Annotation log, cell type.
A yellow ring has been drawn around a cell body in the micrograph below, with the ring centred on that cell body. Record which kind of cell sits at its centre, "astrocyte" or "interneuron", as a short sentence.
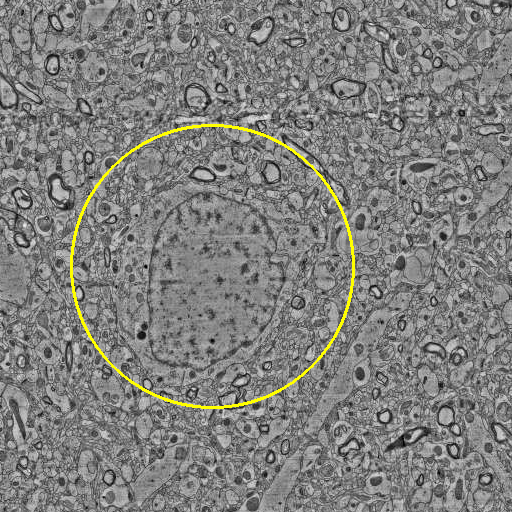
The cell at the centre of this ring is an interneuron.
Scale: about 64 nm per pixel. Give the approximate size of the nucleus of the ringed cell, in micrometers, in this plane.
The nucleus works out at approximately 12 by 9 micrometres in this plane.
